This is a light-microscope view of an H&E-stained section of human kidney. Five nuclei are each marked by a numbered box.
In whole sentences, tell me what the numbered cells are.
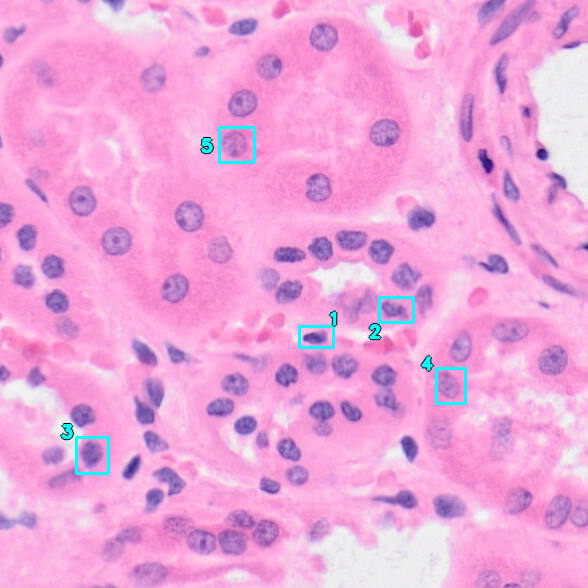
Cell 1 is an endothelial cell. Cell 2 is a collecting duct cell. Cell 3 is a loop of Henle or distal tubule cell. Cells 4 and 5 are proximal tubule cells.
